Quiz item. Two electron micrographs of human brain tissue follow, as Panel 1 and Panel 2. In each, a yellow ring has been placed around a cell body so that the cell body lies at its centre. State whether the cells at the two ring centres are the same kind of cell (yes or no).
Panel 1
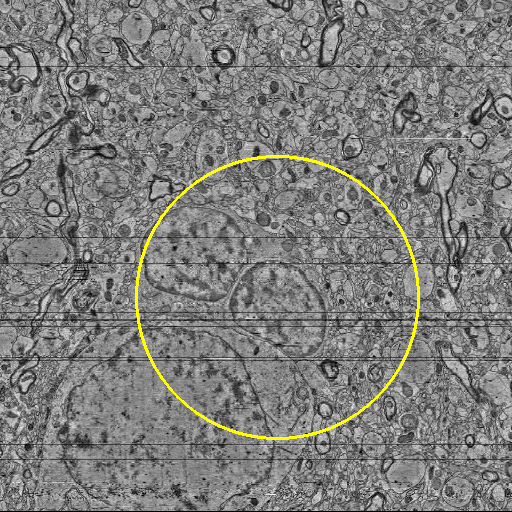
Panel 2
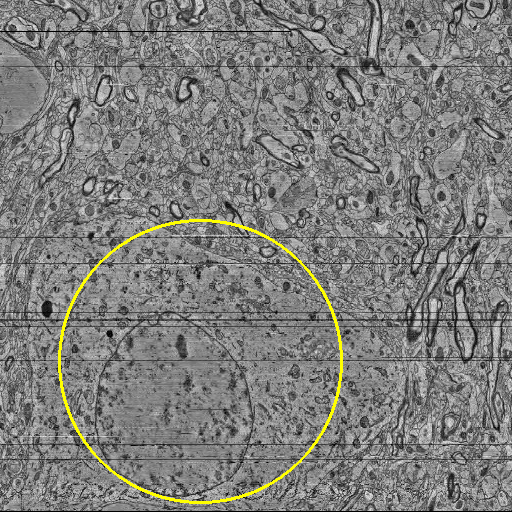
no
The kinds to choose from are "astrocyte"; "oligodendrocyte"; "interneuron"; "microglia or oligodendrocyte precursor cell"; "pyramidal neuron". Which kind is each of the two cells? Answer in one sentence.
Of the two, the first cell is an oligodendrocyte and the second cell is a pyramidal neuron.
